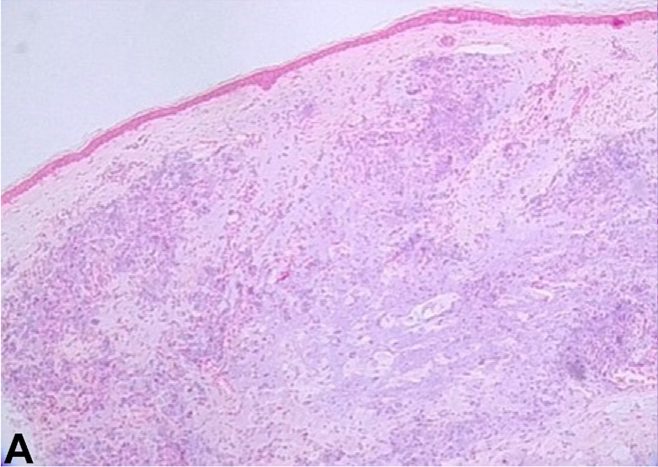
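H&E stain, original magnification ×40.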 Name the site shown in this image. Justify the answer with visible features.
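A thin pink epidermis runs along the top edge. The cell collections and pale material lie below it, in the connective tissue layer. On this evidence: dermis.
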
